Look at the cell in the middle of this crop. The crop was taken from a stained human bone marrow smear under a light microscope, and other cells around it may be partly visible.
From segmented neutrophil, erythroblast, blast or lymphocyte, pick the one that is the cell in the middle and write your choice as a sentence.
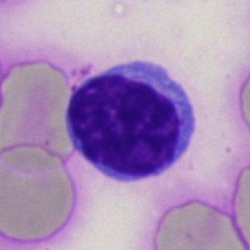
Seen at the centre of the crop is a lymphocyte.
